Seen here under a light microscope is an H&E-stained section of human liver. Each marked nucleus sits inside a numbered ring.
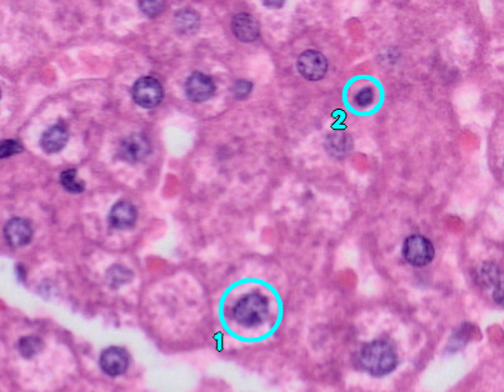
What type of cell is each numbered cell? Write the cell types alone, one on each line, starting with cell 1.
hepatocyte
lymphocyte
